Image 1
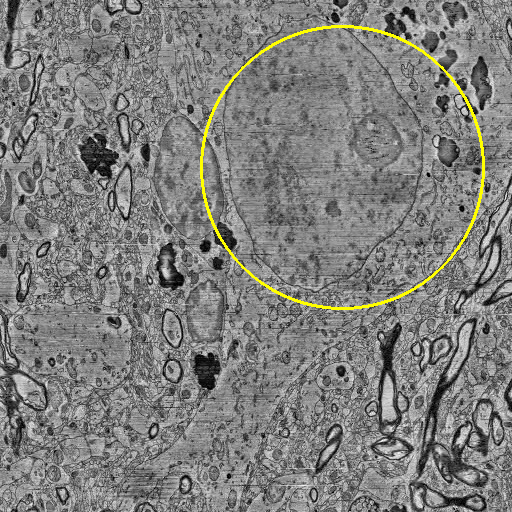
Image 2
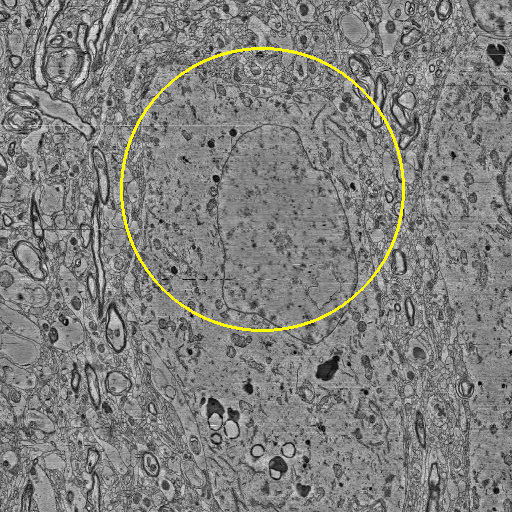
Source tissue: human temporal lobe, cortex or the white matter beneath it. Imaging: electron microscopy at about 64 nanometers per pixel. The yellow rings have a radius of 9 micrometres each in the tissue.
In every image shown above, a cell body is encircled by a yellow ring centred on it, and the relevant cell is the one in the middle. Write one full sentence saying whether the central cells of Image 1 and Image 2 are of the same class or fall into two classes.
The cell at the ring's centre in Image 1 and its counterpart in Image 2 are of the same class.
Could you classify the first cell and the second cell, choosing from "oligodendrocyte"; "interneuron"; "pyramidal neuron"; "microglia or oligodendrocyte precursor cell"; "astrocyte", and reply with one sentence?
Each of the ringed cells, first and second, is a pyramidal neuron.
